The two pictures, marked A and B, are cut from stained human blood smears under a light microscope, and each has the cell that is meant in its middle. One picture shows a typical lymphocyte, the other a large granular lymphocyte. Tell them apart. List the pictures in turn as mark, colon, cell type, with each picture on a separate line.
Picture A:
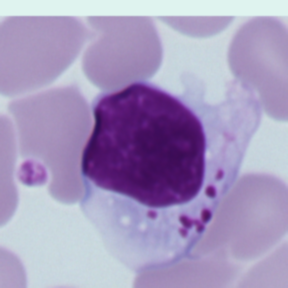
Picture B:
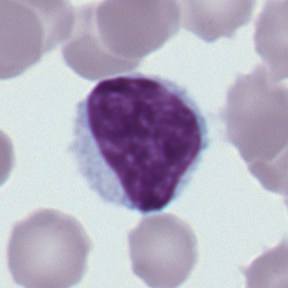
A: large granular lymphocyte
B: typical lymphocyte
